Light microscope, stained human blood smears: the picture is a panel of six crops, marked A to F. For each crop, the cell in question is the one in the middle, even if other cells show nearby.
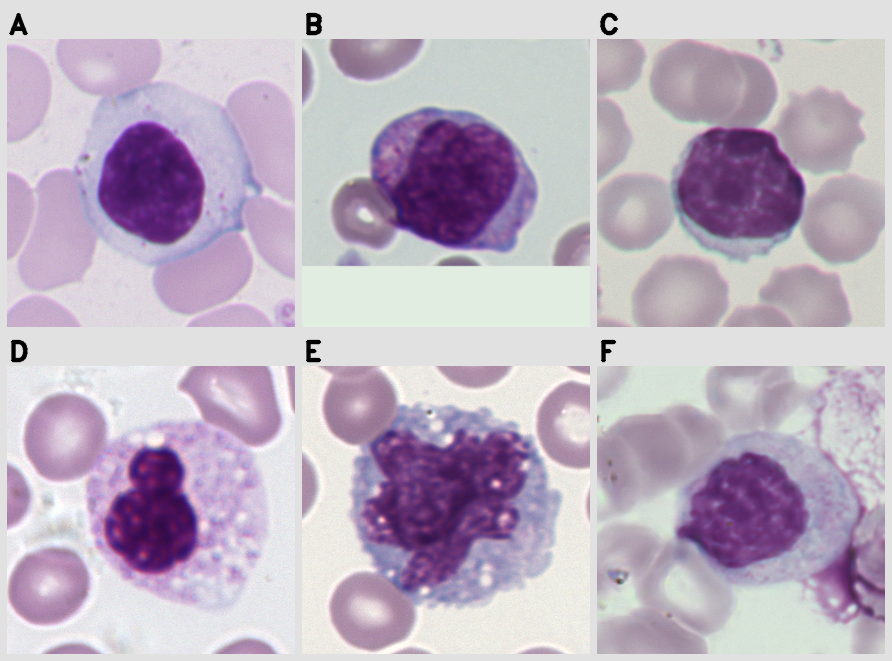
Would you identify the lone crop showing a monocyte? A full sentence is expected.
Crop E is the crop that displays a monocyte.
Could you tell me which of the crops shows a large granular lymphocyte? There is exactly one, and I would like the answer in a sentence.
Crop A matches the request, showing a large granular lymphocyte.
